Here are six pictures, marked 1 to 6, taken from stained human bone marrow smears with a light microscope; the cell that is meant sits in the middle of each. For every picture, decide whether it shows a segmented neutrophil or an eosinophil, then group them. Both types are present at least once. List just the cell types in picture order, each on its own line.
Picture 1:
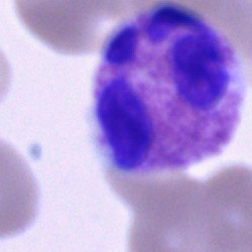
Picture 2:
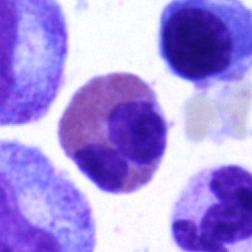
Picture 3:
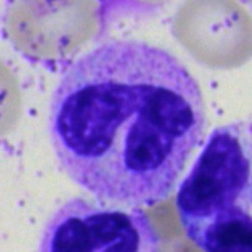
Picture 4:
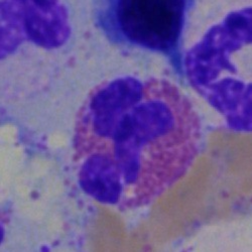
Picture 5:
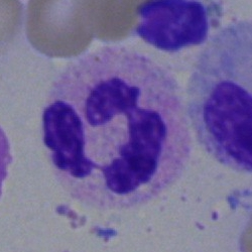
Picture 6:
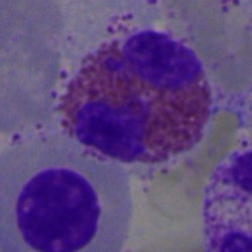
eosinophil
eosinophil
segmented neutrophil
eosinophil
segmented neutrophil
eosinophil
